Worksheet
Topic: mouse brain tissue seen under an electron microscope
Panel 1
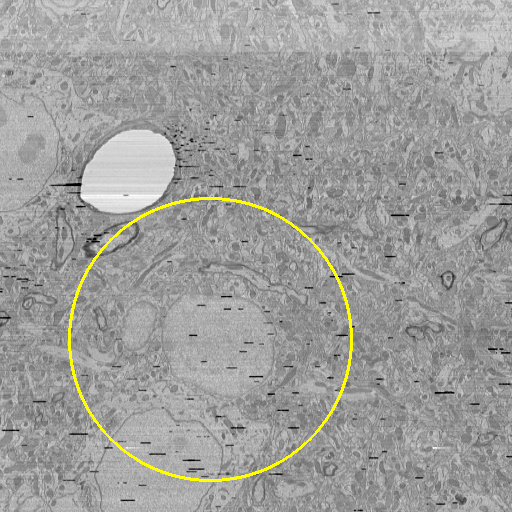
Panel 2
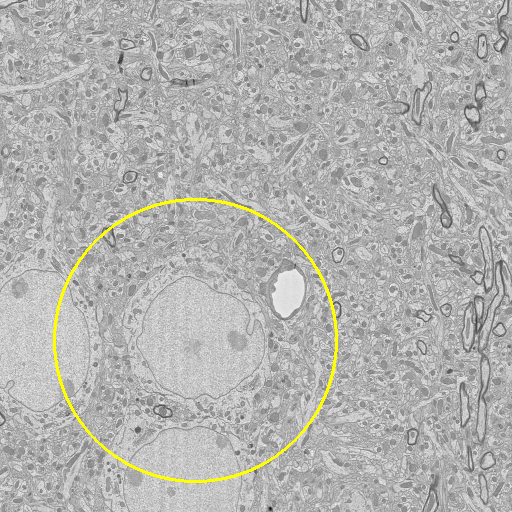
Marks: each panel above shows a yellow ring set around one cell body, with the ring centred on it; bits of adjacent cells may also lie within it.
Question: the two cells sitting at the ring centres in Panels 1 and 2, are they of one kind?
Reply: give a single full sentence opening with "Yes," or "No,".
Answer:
No, the two ring-centre cells in Panel 1 and Panel 2 are of two kinds.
